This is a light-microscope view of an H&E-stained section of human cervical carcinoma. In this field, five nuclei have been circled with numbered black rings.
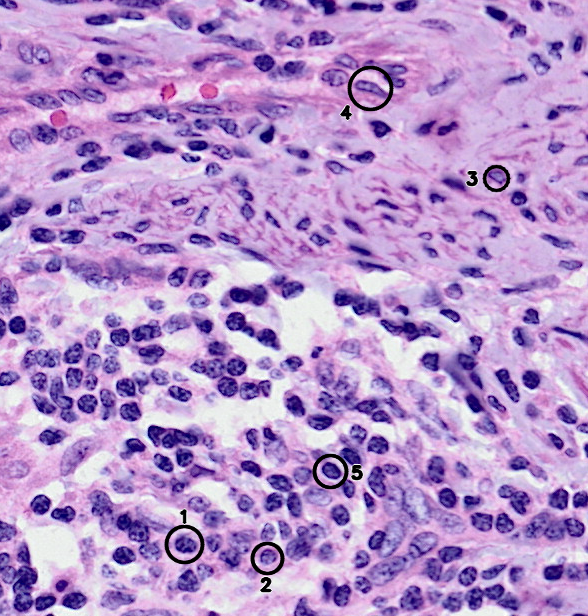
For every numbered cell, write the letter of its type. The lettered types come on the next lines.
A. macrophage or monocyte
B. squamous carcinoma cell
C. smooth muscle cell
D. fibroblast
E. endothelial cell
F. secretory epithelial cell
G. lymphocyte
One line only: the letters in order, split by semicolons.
G; G; C; E; G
